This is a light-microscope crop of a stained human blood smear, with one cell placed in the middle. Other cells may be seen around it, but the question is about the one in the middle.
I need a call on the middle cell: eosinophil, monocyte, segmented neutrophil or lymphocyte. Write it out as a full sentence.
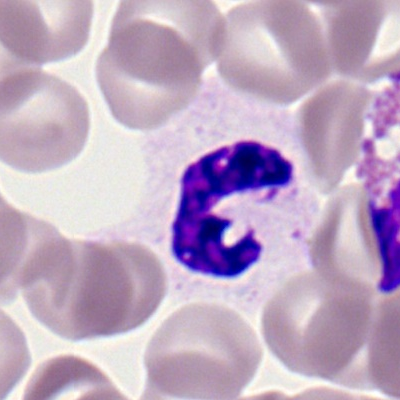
In the middle of this smear crop, the cell is a segmented neutrophil.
